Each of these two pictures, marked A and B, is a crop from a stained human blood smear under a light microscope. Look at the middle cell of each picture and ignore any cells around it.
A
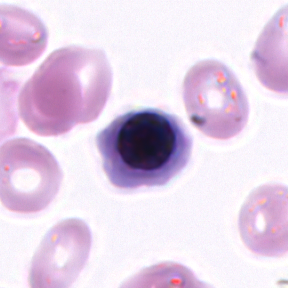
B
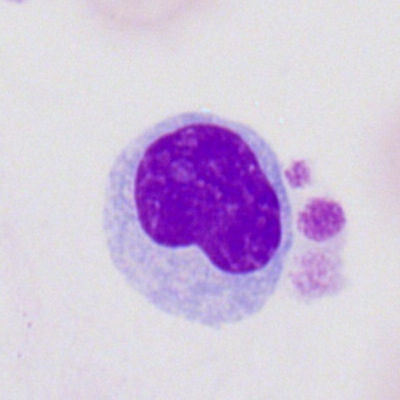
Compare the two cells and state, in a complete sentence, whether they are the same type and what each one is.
No, crop A captures a normoblast, and crop B captures a lymphocyte.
